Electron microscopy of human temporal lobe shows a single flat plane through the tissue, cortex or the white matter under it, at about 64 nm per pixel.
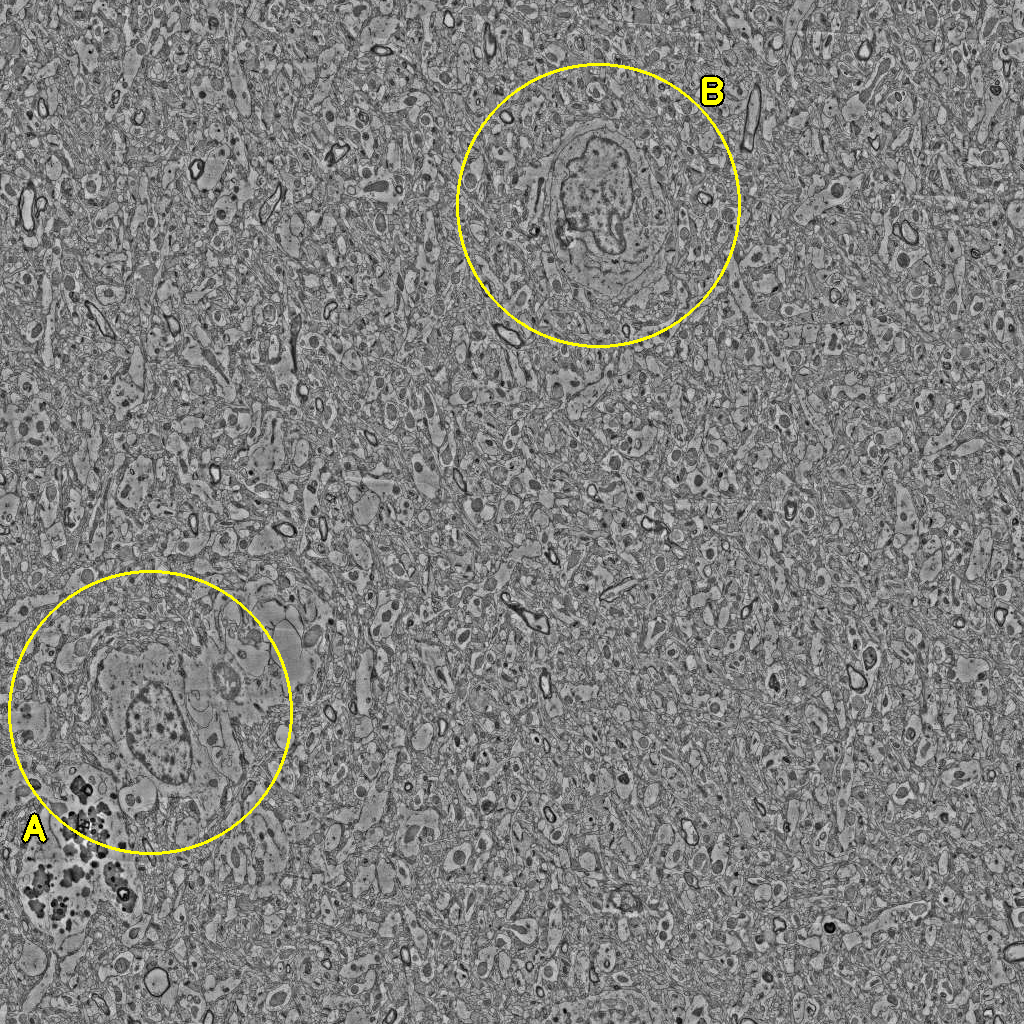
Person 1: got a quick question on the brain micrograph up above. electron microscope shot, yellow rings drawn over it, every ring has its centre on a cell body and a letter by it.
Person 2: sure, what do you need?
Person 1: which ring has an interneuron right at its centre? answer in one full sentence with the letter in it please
In that picture, ring B is centred on the cell asked for.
